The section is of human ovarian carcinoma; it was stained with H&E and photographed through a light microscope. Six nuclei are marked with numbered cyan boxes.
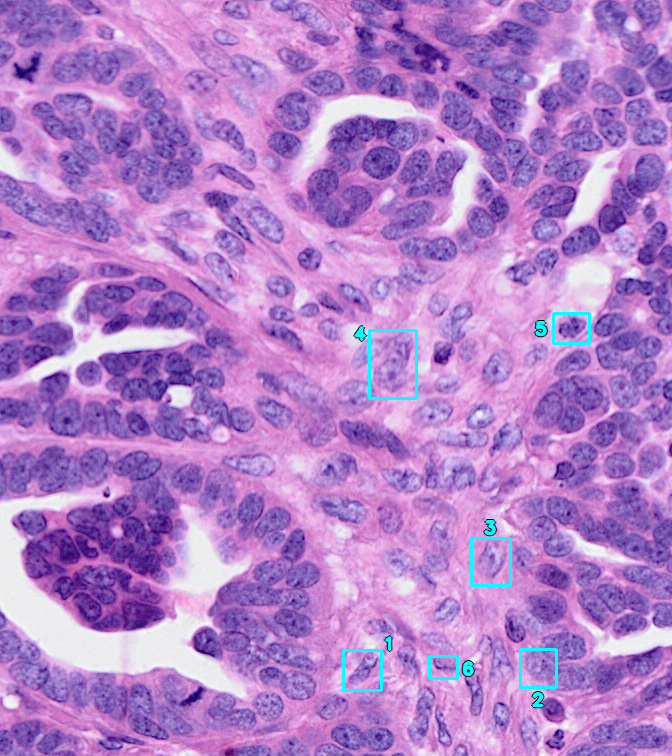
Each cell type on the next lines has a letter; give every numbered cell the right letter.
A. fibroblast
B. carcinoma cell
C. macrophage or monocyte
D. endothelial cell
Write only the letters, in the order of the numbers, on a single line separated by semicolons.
A; B; A; A; C; A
